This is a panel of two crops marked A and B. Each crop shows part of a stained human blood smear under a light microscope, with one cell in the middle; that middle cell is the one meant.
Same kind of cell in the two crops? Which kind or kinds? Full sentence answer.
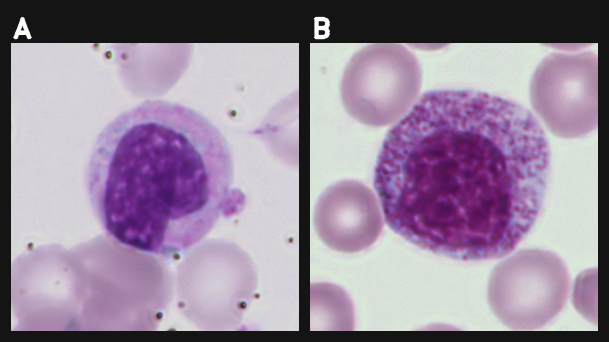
No, the correct reading is a metamyelocyte in crop A and a myelocyte in crop B.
